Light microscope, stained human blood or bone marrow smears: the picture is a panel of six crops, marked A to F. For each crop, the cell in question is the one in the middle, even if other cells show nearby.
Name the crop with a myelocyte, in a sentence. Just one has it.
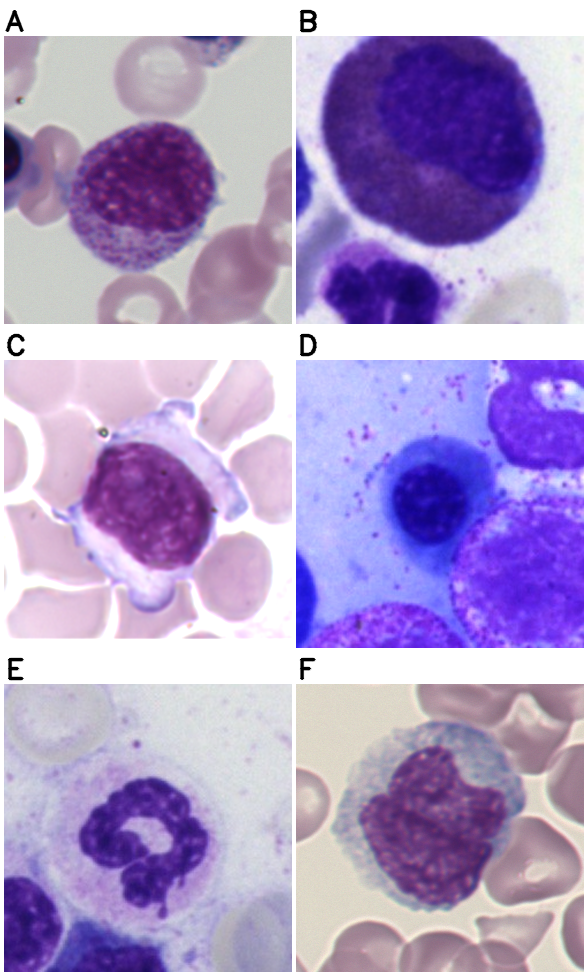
Only in crop A is a myelocyte shown.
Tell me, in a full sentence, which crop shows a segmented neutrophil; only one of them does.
On review of the set, crop E is the one showing a segmented neutrophil.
